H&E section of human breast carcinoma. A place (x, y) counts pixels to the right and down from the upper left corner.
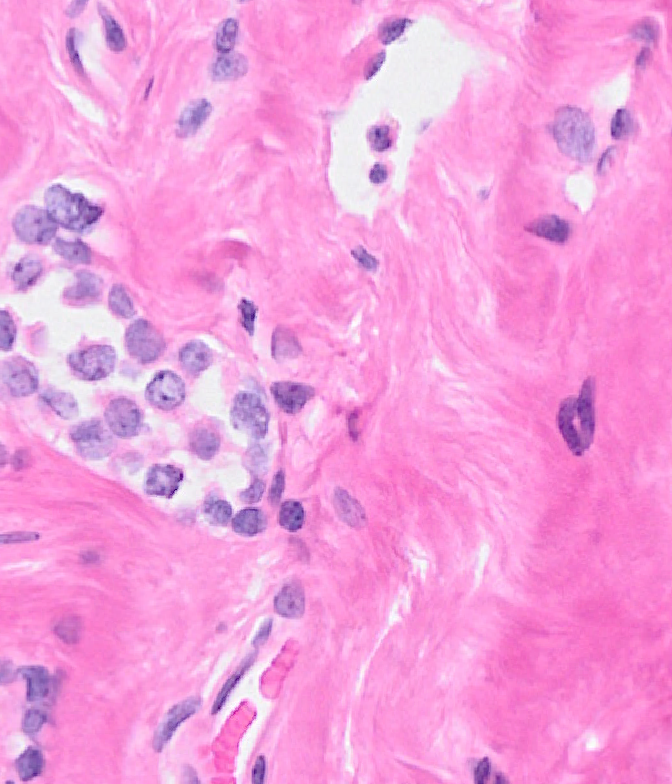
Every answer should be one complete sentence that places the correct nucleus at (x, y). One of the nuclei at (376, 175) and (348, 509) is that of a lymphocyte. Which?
The nucleus at (376, 175) is the one of the two that belongs to a lymphocyte.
